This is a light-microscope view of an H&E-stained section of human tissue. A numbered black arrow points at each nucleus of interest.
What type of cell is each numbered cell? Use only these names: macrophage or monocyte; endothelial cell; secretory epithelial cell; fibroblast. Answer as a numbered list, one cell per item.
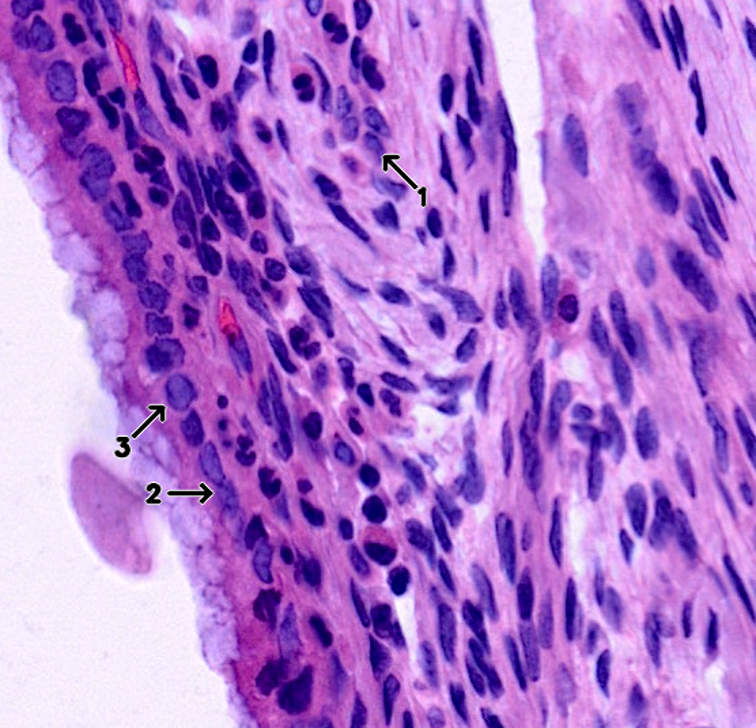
1. endothelial cell
2. secretory epithelial cell
3. secretory epithelial cell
